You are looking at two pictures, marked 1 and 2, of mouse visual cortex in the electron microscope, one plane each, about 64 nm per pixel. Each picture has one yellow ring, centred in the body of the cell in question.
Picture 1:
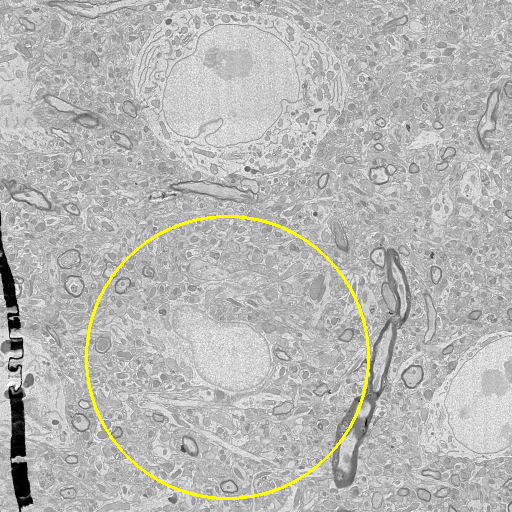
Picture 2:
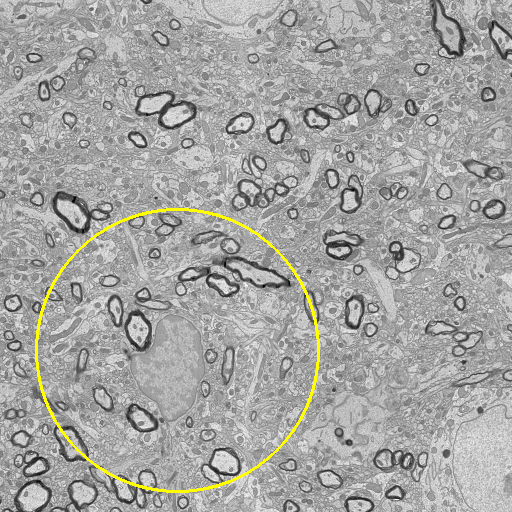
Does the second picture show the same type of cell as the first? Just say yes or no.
no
